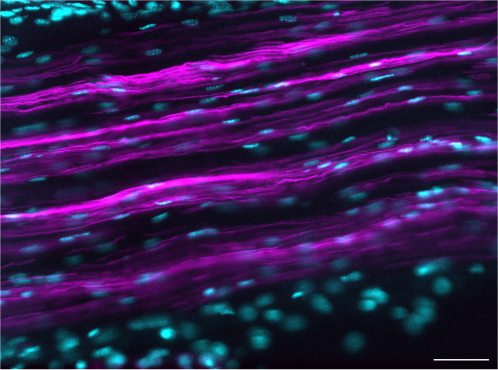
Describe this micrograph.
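A longitudinally cut nerve-like tissue with many long, thin, wavy magenta fibres running in parallel across the field. Small elongated cyan nuclei are scattered among the fibres, oriented along the same direction.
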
